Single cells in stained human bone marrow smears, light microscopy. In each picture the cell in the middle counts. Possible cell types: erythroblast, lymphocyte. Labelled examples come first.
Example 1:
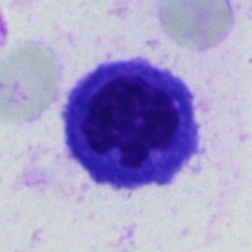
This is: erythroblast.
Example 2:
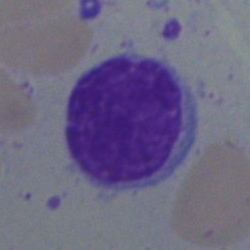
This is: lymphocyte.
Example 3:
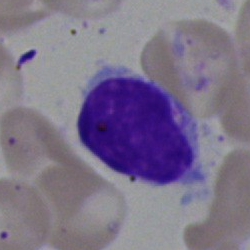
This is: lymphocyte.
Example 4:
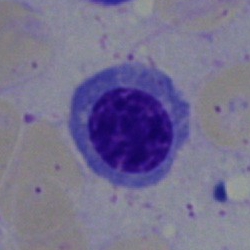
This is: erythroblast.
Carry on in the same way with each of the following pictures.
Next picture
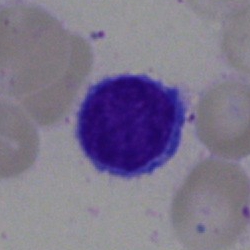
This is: lymphocyte.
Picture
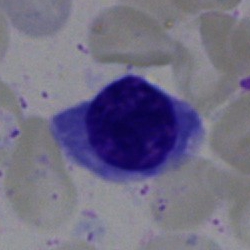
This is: erythroblast.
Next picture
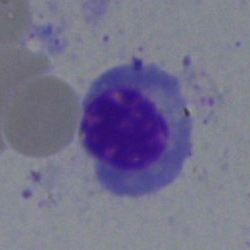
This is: erythroblast.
